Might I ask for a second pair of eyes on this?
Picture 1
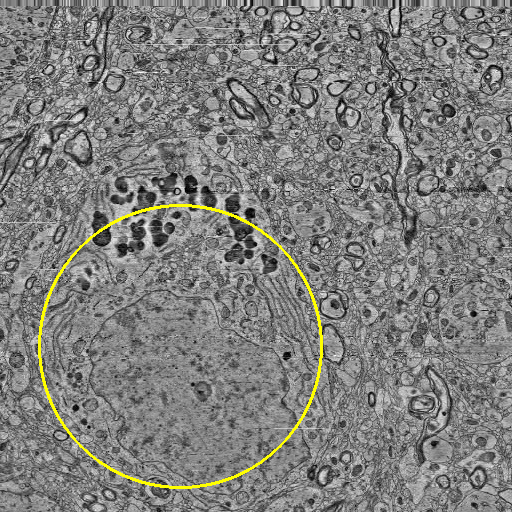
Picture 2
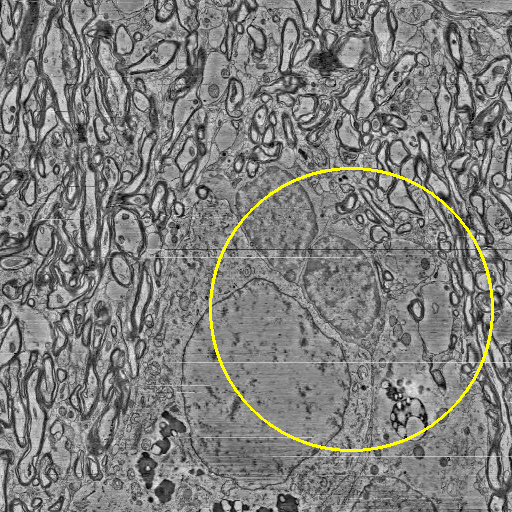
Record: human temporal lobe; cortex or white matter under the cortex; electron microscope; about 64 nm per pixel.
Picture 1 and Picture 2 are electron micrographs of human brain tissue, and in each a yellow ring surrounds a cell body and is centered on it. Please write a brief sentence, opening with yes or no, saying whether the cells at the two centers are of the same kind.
No, the cells are of two kinds.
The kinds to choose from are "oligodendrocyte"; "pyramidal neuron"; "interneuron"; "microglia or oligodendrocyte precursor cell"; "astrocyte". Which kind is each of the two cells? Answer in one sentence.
Of the two, the first cell is an interneuron and the second cell is an oligodendrocyte.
